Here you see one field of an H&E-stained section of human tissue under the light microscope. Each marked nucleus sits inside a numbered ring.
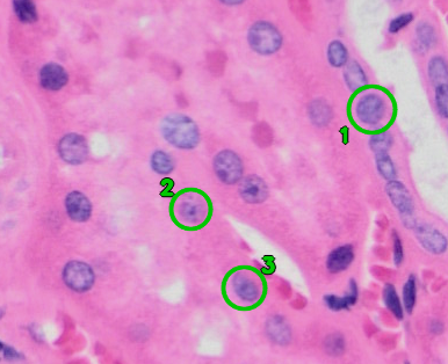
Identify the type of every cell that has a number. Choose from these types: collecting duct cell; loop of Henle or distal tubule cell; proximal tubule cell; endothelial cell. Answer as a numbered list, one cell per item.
1. collecting duct cell
2. proximal tubule cell
3. proximal tubule cell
